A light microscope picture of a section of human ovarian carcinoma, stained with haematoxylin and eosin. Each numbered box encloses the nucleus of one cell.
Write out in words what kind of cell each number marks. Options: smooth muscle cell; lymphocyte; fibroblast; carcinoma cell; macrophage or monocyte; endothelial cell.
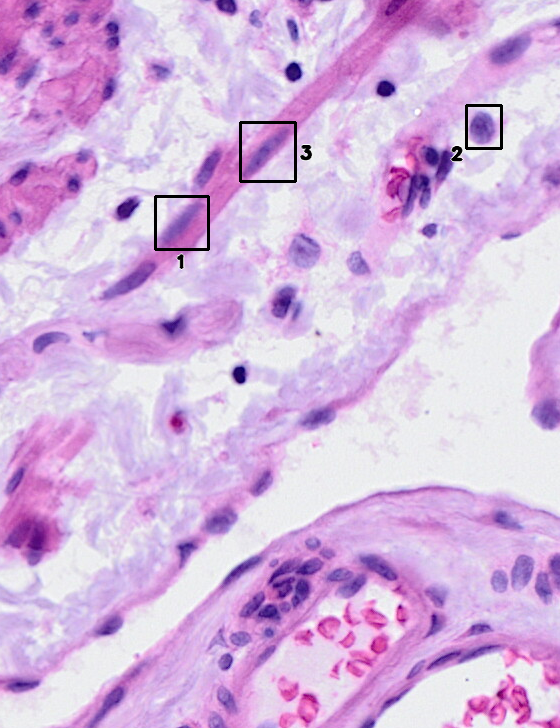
Cells 1 and 3 are smooth muscle cells. Cell 2 is a fibroblast.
